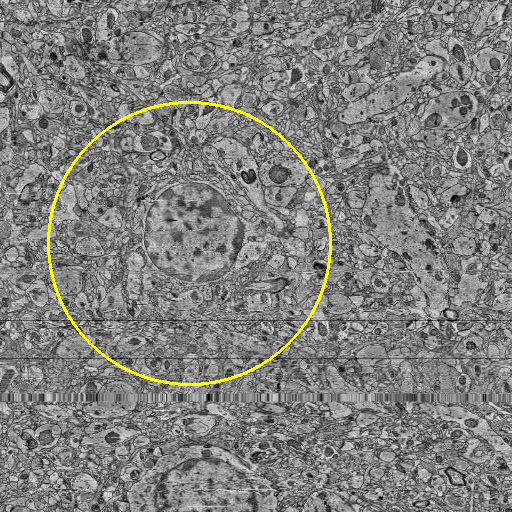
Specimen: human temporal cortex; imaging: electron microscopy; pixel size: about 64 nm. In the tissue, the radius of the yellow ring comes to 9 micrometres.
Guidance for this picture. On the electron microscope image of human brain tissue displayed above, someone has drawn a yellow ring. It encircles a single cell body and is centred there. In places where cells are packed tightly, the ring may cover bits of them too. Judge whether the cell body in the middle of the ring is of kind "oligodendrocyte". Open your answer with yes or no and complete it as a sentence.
No, another kind matches the cell whose body lies at the ring's centre in the image above.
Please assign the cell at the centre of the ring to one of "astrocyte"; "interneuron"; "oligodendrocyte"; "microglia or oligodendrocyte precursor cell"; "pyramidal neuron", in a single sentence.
Instead, the cell at the centre of the yellow ring is a microglial cell or oligodendrocyte precursor cell.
